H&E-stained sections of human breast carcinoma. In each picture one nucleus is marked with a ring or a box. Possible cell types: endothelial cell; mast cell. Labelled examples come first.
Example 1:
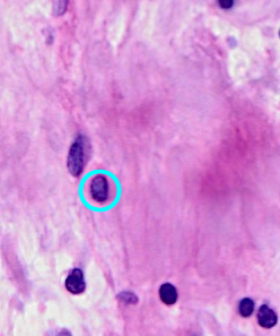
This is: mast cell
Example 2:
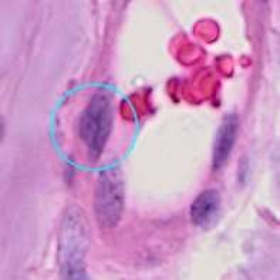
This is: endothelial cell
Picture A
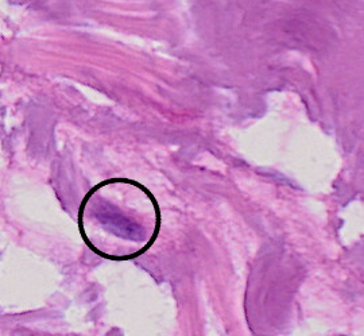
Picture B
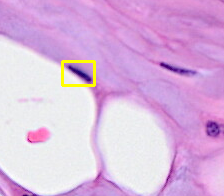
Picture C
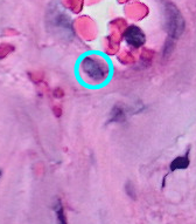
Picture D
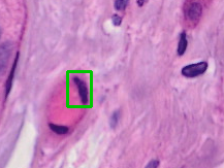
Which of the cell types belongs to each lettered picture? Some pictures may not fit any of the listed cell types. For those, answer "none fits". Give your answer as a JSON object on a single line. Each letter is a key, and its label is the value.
{"A": "none fits", "B": "none fits", "C": "endothelial cell", "D": "endothelial cell"}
